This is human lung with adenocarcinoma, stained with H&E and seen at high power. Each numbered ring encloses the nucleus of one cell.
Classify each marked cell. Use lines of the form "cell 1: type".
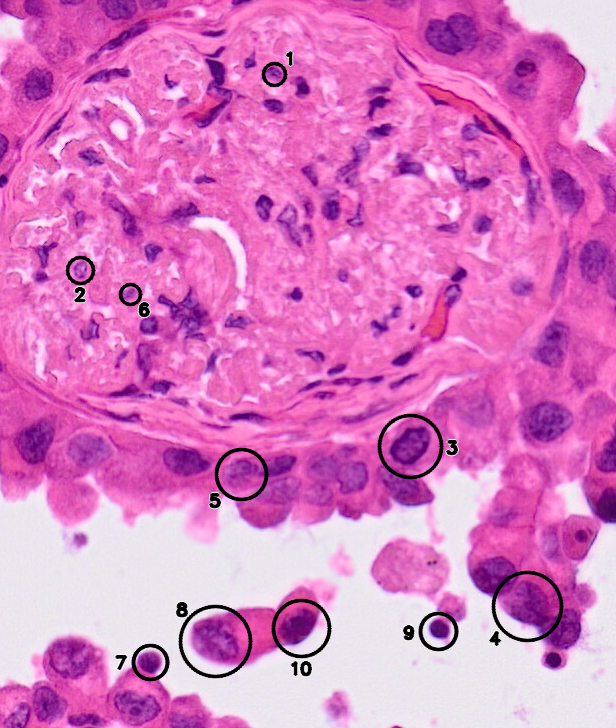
cell 1: smooth muscle cell or pericyte
cell 2: mast cell
cell 3: carcinoma cell
cell 4: carcinoma cell
cell 5: carcinoma cell
cell 6: smooth muscle cell or pericyte
cell 7: lymphocyte
cell 8: carcinoma cell
cell 9: lymphocyte
cell 10: carcinoma cell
